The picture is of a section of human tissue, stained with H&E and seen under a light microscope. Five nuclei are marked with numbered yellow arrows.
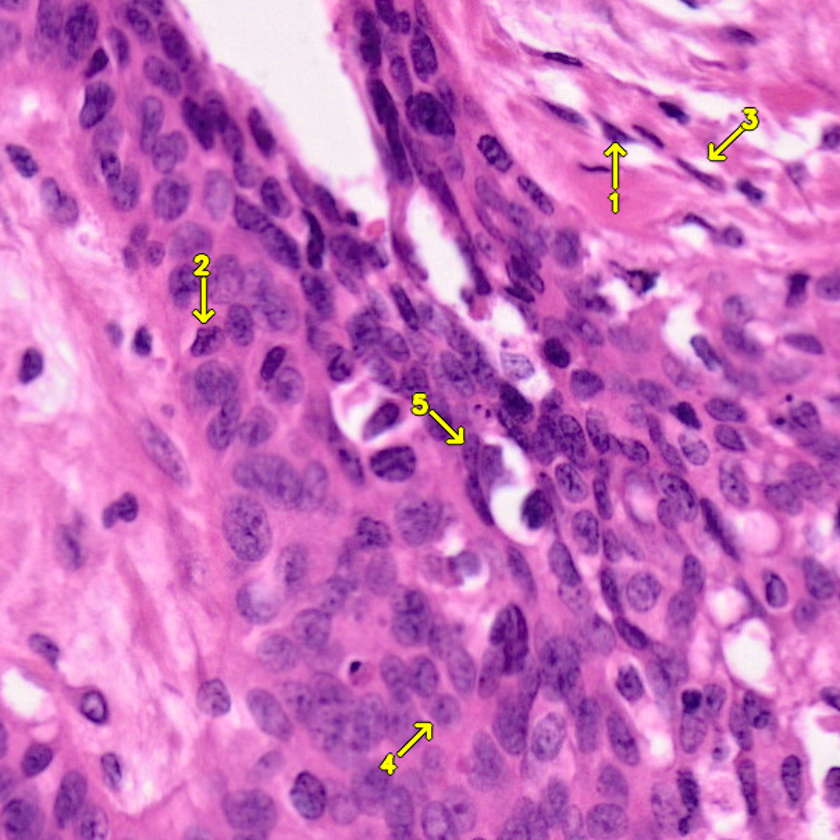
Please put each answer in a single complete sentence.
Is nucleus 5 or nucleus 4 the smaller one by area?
The smaller nucleus is 5, and 4 covers roughly 1.5 times its area.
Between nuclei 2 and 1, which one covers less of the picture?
It is nucleus 1; nucleus 2 has about 2.5 times its area.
